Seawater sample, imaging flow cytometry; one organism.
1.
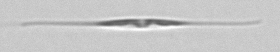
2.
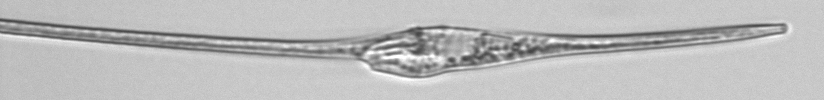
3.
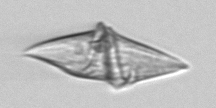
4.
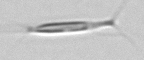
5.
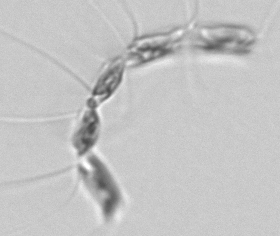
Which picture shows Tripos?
Picture 2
